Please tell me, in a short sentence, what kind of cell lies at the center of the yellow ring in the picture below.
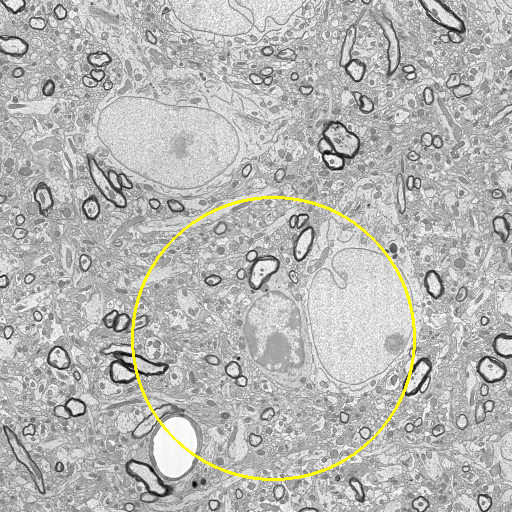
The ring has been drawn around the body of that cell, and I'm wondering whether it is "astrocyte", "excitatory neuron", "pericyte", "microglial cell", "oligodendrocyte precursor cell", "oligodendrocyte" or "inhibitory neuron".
The cell at the center of the ring is an oligodendrocyte.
